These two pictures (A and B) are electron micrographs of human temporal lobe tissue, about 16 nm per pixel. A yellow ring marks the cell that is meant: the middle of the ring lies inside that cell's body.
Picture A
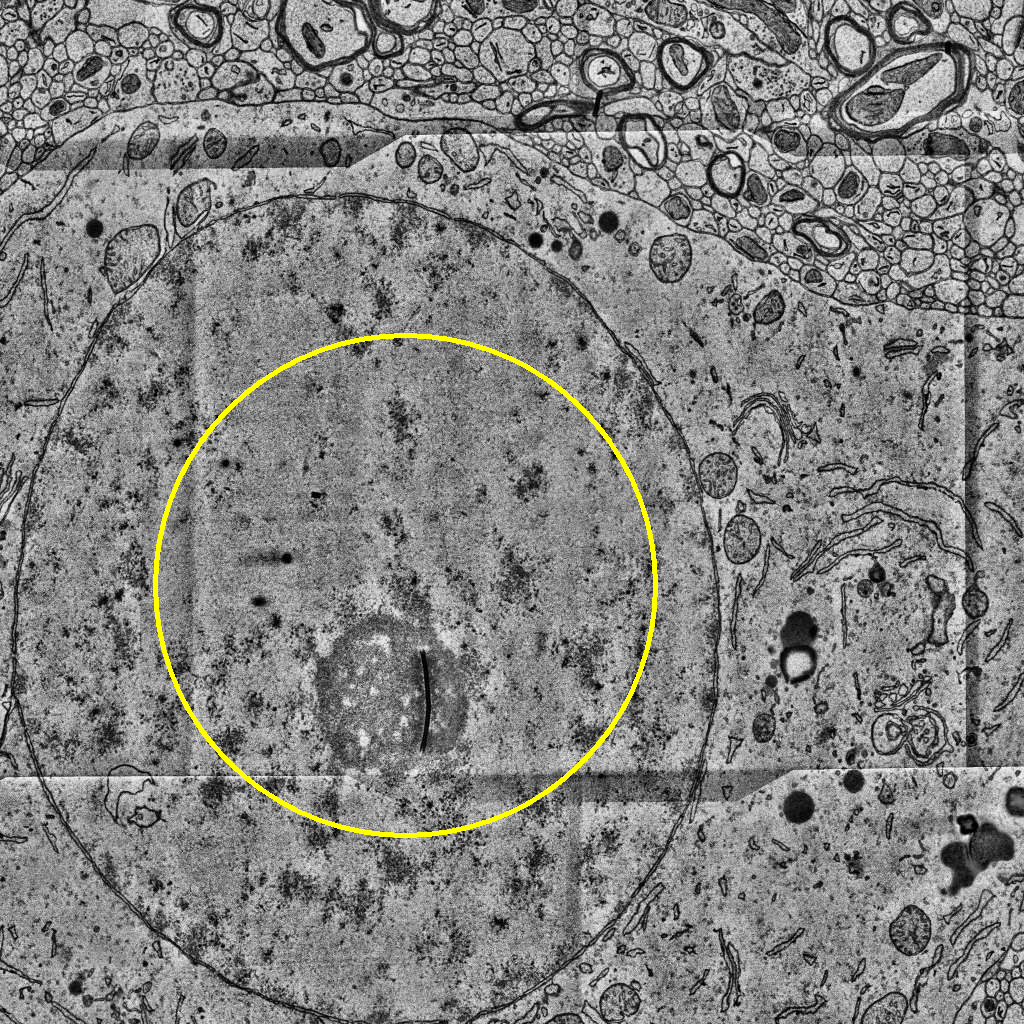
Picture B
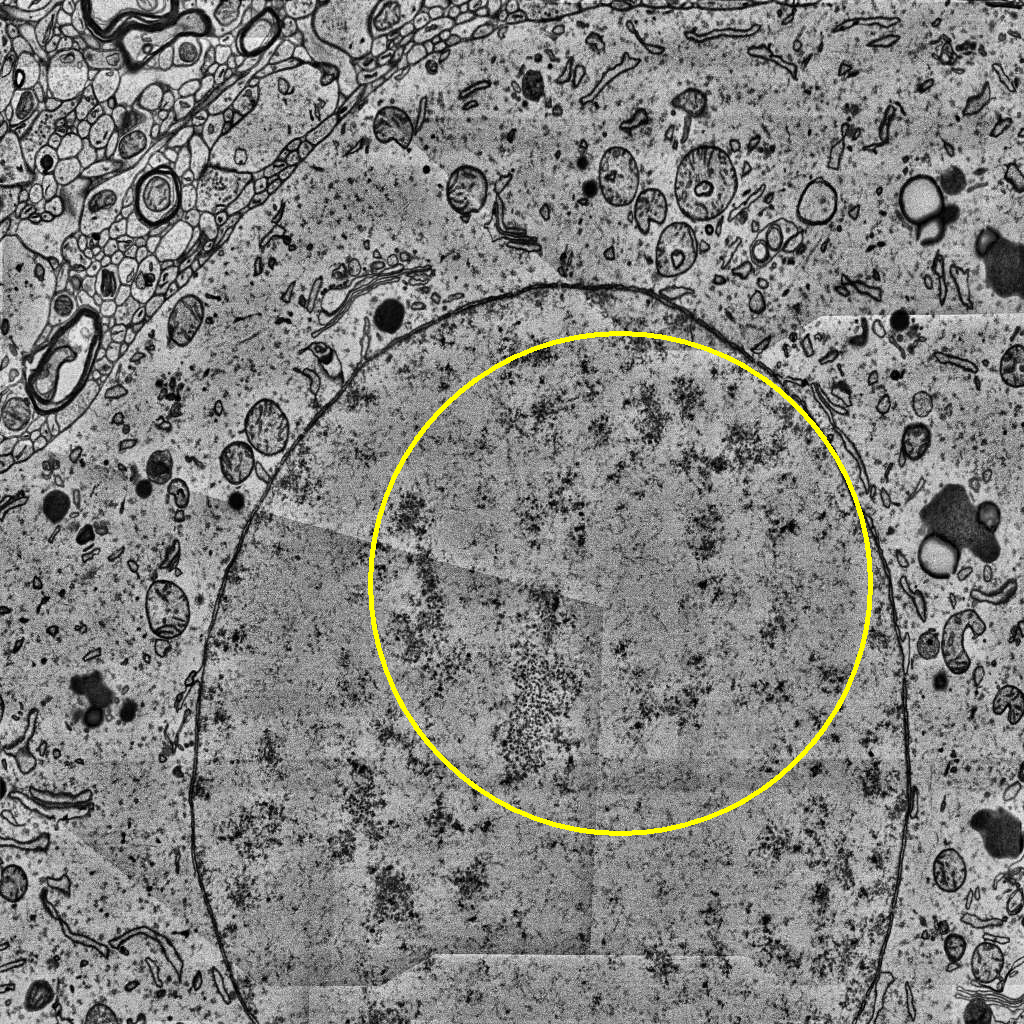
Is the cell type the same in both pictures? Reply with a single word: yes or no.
yes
